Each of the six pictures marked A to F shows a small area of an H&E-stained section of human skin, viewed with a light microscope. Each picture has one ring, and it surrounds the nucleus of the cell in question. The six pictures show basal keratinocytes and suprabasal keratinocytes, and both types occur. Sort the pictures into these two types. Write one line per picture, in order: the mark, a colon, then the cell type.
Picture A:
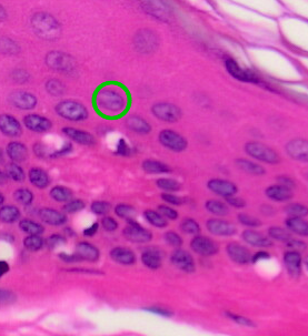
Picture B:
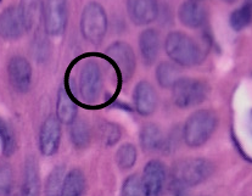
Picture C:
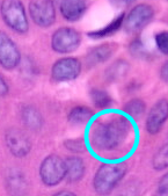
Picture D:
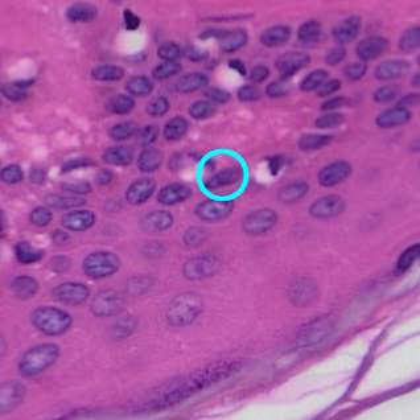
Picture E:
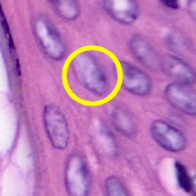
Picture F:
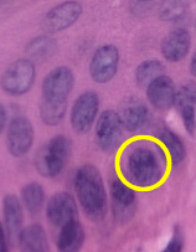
A: suprabasal keratinocyte
B: basal keratinocyte
C: basal keratinocyte
D: basal keratinocyte
E: suprabasal keratinocyte
F: basal keratinocyte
